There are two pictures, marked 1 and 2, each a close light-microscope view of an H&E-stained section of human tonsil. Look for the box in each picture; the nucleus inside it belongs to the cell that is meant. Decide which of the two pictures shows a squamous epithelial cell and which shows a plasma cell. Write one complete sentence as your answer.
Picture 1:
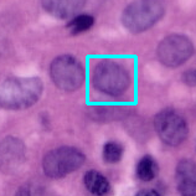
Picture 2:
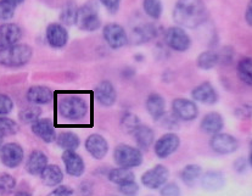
It is picture 1 that shows a squamous epithelial cell, and picture 2 that shows a plasma cell.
